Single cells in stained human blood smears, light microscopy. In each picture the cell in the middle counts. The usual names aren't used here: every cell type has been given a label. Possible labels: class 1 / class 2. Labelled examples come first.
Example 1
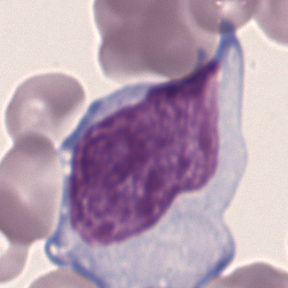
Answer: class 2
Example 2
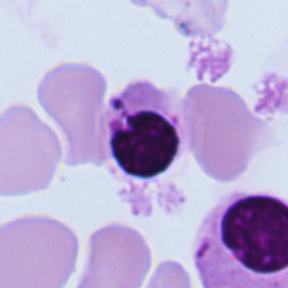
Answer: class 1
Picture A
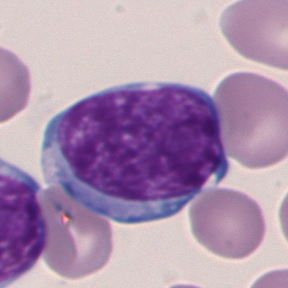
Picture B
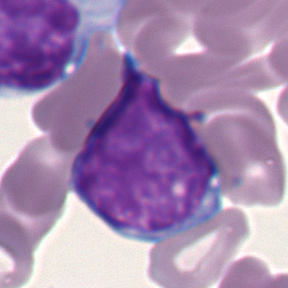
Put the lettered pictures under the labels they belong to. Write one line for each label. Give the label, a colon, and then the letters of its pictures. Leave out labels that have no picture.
class 2: A, B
